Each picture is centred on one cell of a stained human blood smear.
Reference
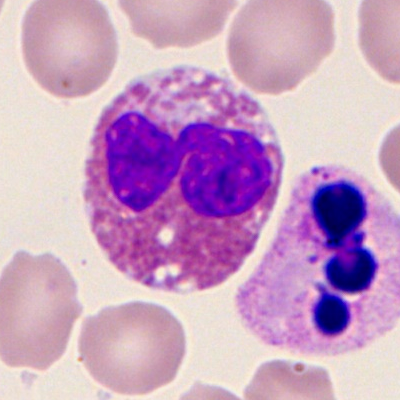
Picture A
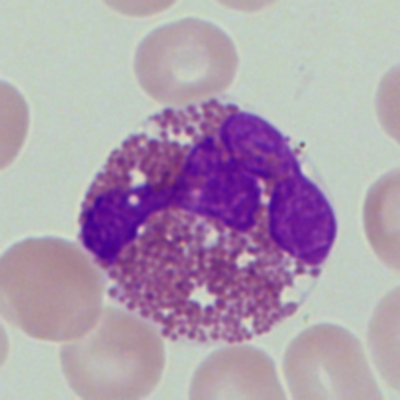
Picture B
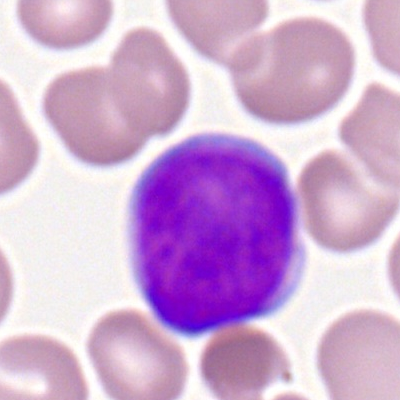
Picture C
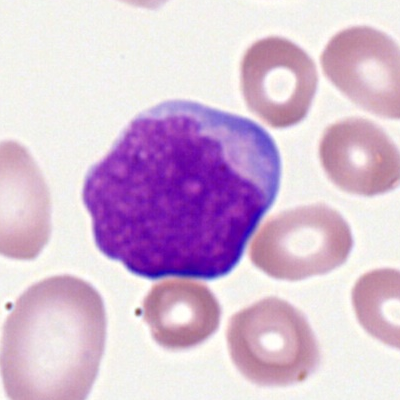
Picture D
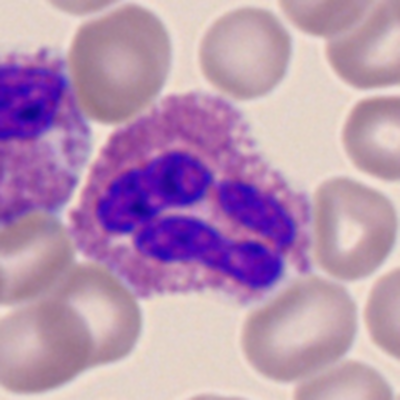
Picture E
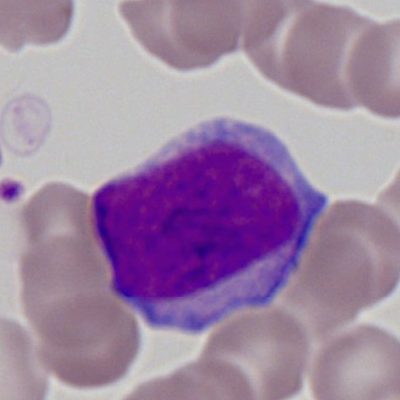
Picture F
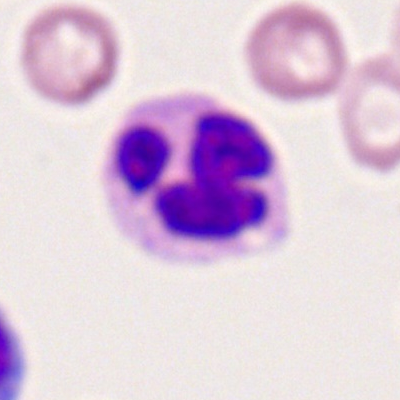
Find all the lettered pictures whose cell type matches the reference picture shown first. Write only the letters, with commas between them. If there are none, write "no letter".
A, D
